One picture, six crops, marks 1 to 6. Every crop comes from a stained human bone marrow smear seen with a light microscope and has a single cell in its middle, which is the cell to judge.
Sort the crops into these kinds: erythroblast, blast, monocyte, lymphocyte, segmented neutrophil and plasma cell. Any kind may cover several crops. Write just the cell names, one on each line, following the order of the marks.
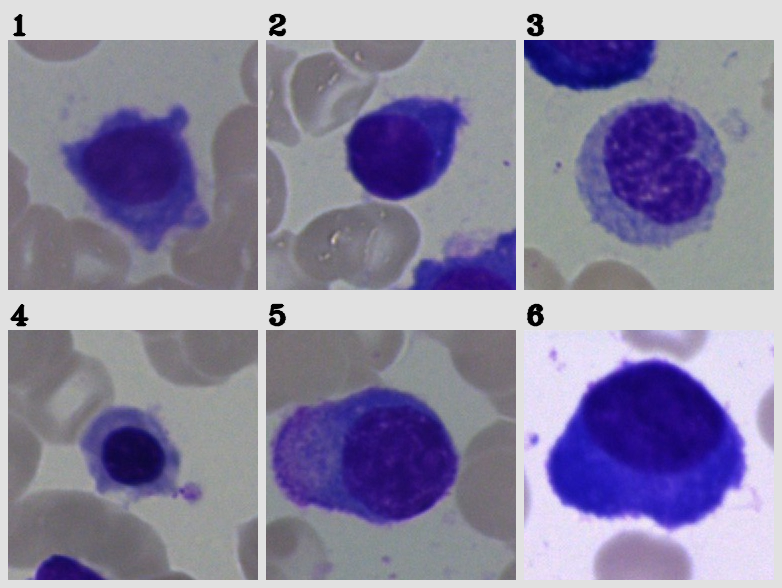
plasma cell
plasma cell
monocyte
erythroblast
plasma cell
plasma cell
